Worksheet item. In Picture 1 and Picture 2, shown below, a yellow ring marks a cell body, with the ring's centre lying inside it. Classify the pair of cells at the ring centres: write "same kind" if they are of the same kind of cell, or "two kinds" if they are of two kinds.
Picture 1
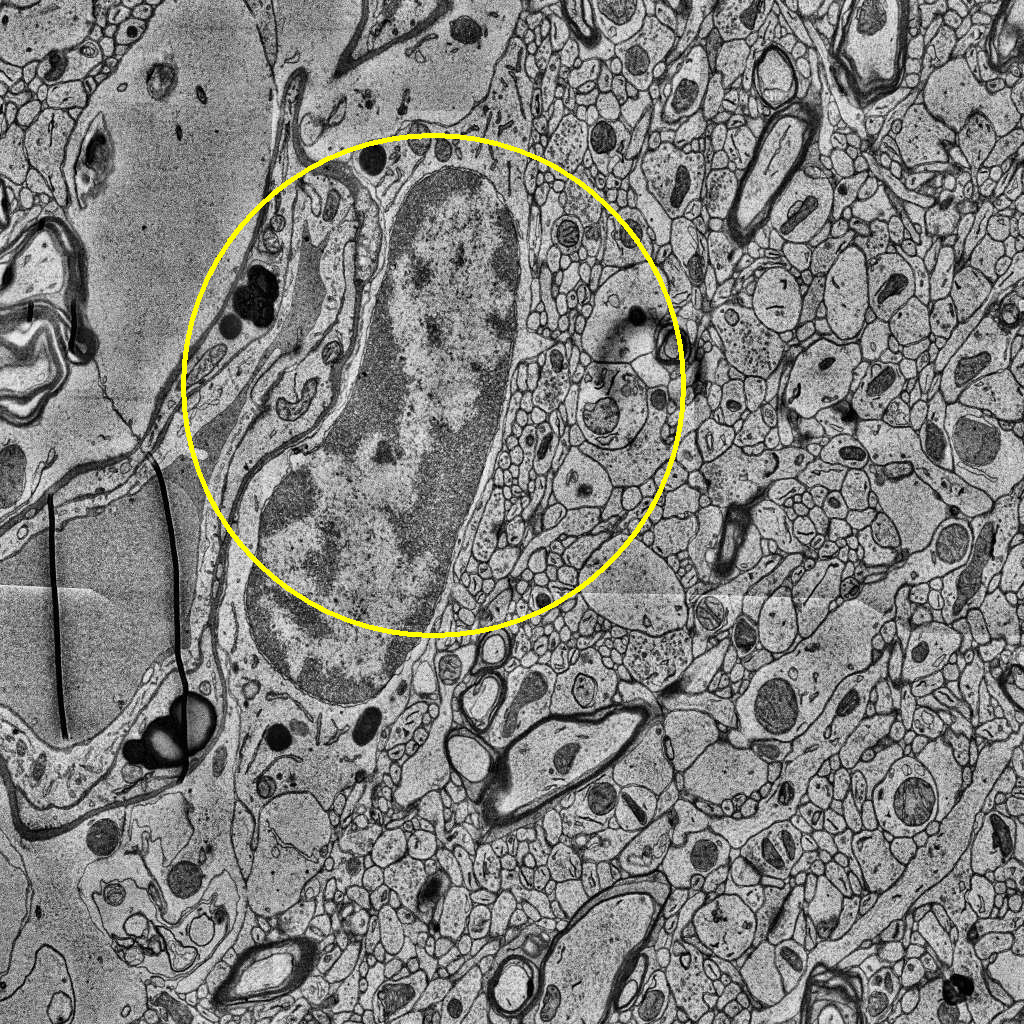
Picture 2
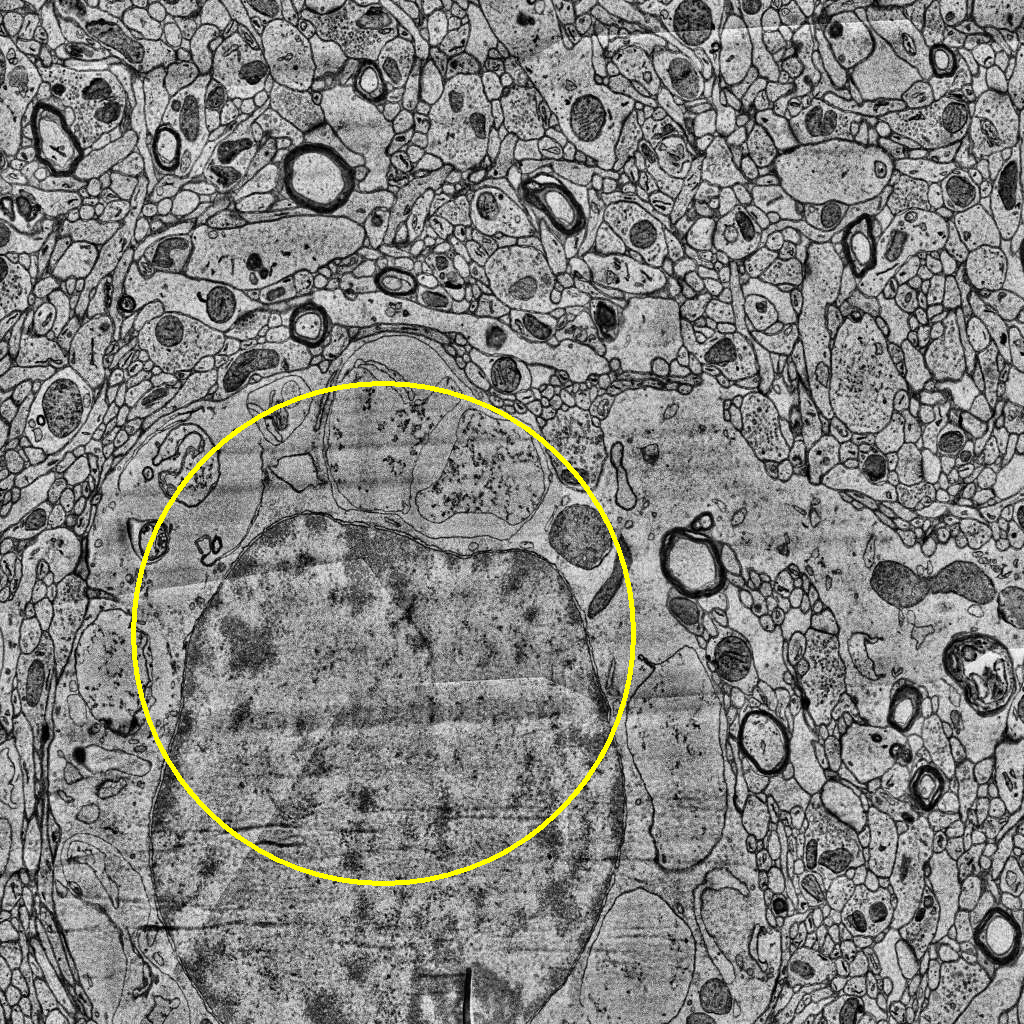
two kinds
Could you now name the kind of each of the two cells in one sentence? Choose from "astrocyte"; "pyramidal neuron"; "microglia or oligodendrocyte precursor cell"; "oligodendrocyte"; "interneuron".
So the first is a microglial cell or oligodendrocyte precursor cell, the second an astrocyte.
